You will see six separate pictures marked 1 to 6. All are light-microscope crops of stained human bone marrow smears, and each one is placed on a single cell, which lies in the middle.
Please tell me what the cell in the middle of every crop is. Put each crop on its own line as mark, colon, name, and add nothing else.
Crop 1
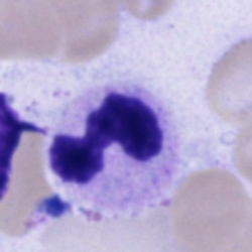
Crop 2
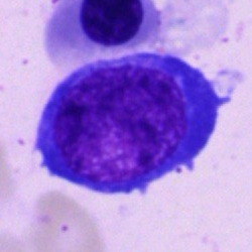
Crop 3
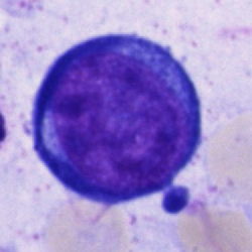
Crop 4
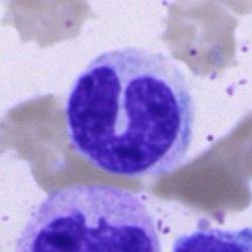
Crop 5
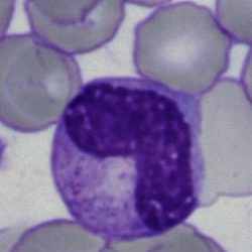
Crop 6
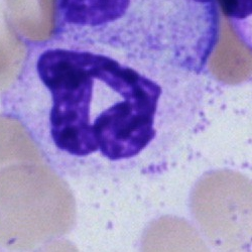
1: segmented neutrophil
2: proerythroblast
3: proerythroblast
4: band neutrophil
5: band neutrophil
6: segmented neutrophil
